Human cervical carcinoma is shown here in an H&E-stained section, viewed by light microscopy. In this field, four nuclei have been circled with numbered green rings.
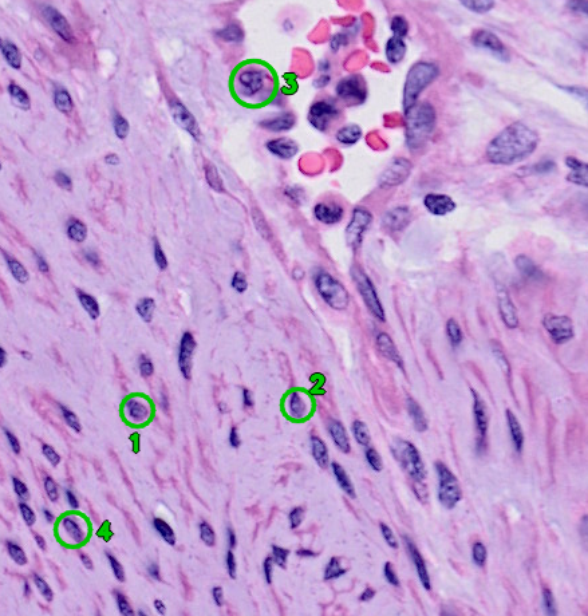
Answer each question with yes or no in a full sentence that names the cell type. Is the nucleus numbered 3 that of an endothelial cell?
Yes, the cell that has number 3 is an endothelial cell.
